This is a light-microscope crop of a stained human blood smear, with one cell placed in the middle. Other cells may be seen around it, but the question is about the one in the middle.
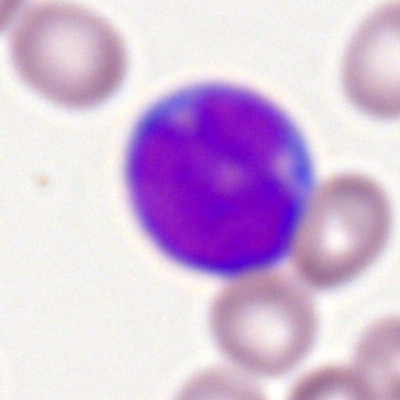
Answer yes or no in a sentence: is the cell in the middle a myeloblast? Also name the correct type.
Yes, the central cell of this crop corresponds to a myeloblast.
